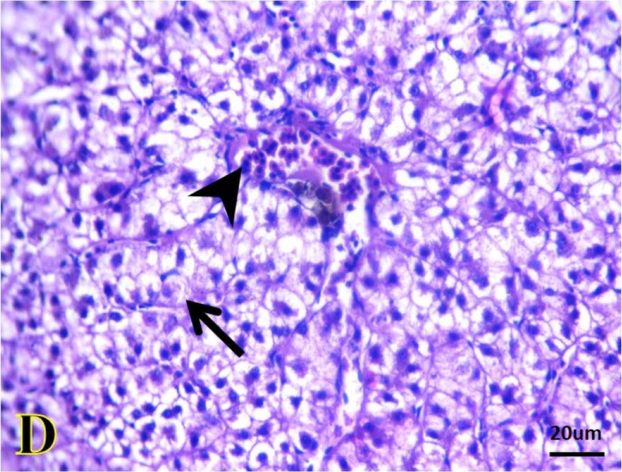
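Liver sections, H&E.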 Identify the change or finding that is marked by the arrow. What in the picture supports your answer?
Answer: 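Liver cells have pale, clear, empty-looking cytoplasm. Cell borders stand out as thin lines around the clear cytoplasm. That points to this answer: prominent vacuolization.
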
